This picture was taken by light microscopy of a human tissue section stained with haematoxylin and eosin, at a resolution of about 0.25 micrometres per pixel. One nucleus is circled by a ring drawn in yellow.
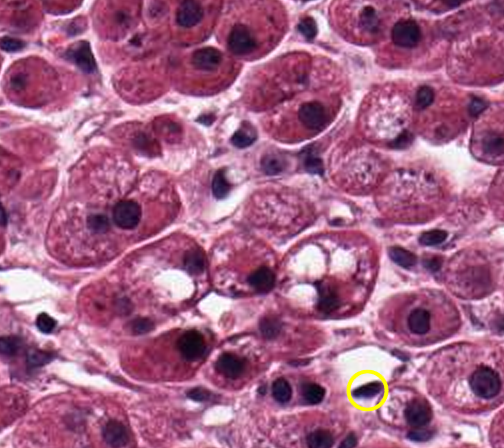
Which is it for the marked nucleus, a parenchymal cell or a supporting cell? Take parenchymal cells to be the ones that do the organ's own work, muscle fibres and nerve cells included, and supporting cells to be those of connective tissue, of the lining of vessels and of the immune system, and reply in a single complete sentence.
It is in a supporting cell that the marked nucleus lies.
